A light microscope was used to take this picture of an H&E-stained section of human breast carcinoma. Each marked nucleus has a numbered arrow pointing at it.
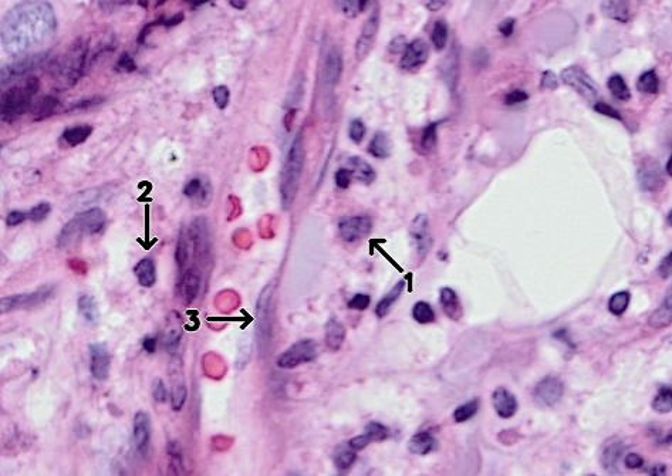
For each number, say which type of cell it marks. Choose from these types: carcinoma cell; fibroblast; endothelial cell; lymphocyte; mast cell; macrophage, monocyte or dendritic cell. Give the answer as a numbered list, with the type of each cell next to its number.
1. mast cell
2. lymphocyte
3. endothelial cell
